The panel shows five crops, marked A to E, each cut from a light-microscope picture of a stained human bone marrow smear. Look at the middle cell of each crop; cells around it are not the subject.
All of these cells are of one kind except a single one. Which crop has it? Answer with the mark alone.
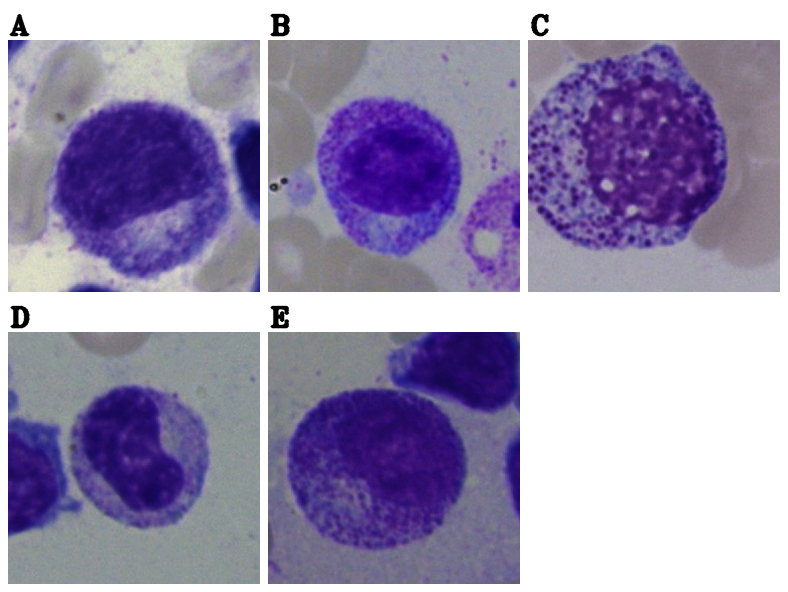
D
